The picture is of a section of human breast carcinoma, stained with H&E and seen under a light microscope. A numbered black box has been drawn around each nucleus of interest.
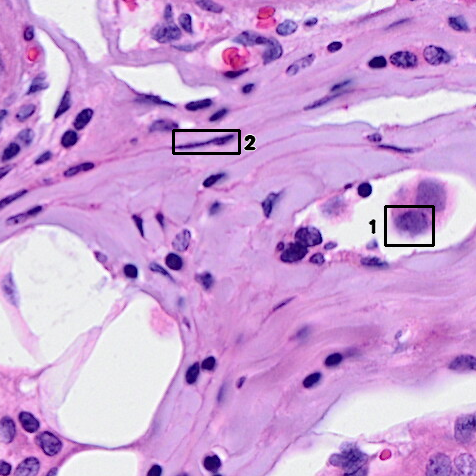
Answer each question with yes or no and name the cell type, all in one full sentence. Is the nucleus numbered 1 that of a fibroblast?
No, as for cell 1, it is a carcinoma cell and not a fibroblast.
